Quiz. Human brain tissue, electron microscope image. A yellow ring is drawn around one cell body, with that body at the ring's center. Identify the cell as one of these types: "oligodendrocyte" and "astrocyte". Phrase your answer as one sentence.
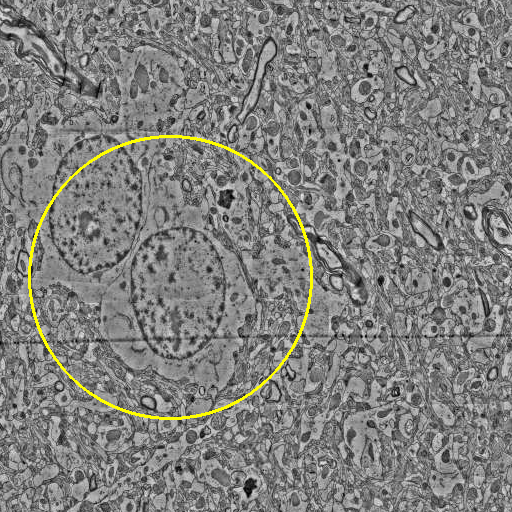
At the center of the ring sits an astrocyte.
